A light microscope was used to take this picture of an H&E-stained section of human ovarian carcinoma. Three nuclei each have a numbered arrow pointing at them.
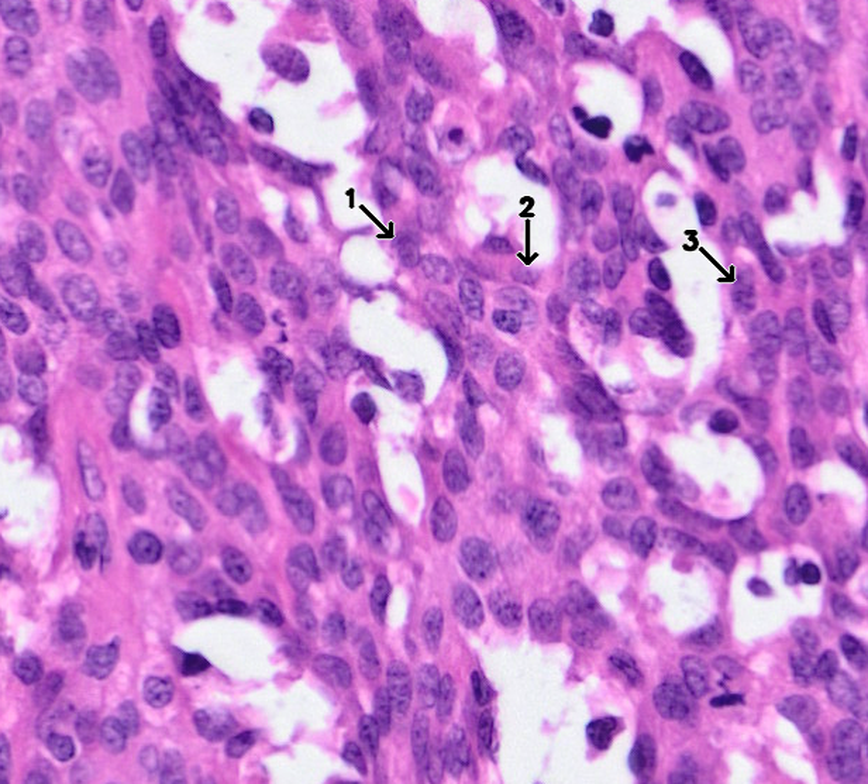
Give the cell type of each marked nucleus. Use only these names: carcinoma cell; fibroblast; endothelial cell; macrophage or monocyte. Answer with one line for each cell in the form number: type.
1: carcinoma cell
2: carcinoma cell
3: macrophage or monocyte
